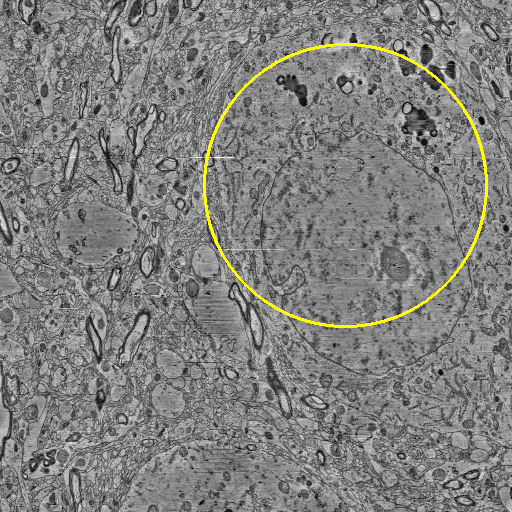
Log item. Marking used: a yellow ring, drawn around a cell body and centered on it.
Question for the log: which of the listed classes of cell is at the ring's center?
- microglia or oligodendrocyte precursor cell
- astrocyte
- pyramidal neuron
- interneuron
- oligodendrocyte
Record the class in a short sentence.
At the center of the ring lies a pyramidal neuron.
